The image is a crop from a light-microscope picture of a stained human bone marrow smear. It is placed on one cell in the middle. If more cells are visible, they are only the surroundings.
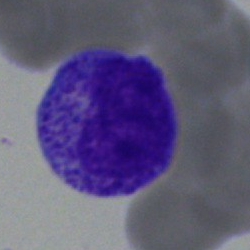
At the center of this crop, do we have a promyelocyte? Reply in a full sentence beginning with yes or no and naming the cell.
Yes, it is a promyelocyte that lies in the middle.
